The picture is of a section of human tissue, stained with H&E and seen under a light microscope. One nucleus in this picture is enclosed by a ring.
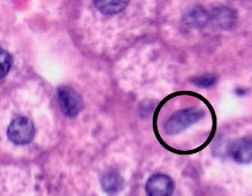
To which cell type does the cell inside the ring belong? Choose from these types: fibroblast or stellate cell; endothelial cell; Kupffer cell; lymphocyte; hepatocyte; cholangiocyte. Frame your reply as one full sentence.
Cell type answer for this item: the cell inside the ring is a Kupffer cell.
